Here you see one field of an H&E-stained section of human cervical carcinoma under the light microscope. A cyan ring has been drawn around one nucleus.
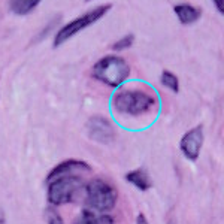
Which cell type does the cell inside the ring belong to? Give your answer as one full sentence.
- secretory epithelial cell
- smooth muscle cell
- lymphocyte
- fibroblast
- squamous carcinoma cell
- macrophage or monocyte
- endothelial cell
The cell inside the ring is an endothelial cell.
